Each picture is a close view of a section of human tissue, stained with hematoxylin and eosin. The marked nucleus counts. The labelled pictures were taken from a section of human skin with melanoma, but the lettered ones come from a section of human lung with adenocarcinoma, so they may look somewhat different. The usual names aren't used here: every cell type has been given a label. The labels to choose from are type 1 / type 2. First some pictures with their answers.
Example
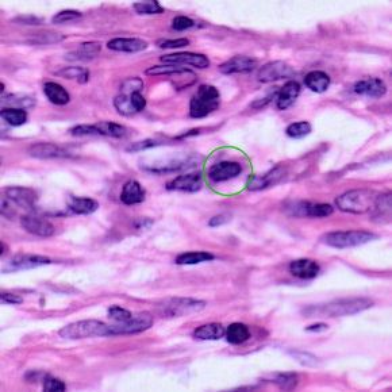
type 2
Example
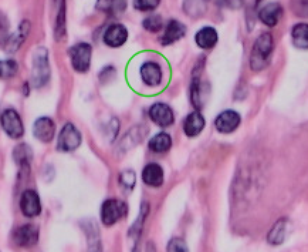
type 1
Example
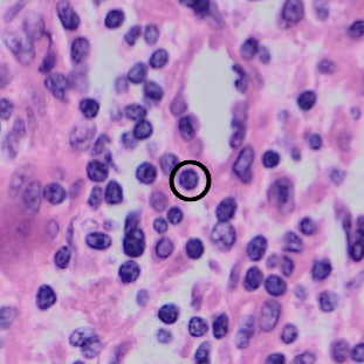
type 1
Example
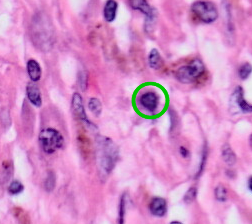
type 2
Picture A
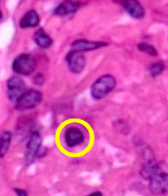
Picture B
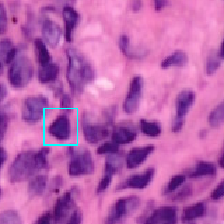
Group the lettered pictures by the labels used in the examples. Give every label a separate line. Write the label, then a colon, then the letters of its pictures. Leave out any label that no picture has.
type 1: B
type 2: A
